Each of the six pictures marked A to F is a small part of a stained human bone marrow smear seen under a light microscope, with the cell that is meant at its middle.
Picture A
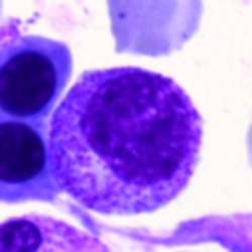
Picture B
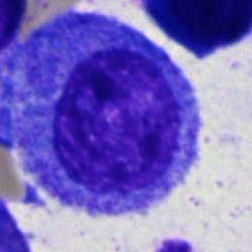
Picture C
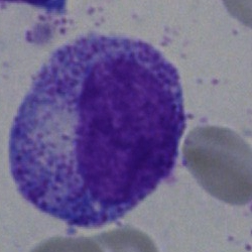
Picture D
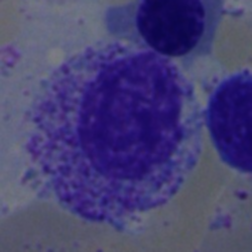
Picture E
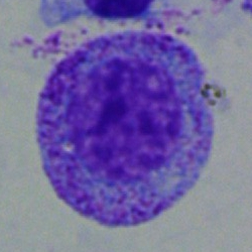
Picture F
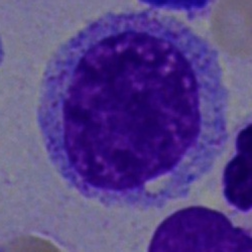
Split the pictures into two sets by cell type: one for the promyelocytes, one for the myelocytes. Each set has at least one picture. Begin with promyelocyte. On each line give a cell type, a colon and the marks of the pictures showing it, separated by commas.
promyelocyte: B, F
myelocyte: A, C, D, E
